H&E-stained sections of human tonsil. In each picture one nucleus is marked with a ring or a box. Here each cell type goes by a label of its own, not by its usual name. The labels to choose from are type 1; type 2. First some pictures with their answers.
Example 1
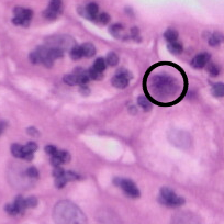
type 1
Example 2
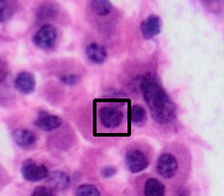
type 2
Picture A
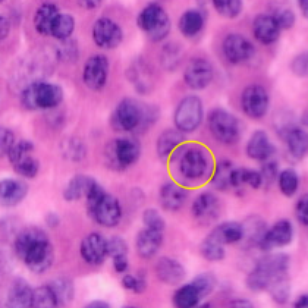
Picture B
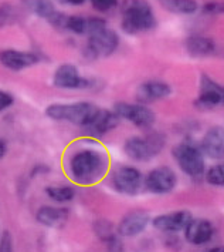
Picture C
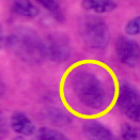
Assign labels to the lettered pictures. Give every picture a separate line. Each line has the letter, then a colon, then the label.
A: type 2
B: type 2
C: type 1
